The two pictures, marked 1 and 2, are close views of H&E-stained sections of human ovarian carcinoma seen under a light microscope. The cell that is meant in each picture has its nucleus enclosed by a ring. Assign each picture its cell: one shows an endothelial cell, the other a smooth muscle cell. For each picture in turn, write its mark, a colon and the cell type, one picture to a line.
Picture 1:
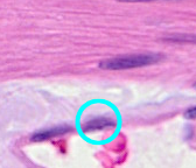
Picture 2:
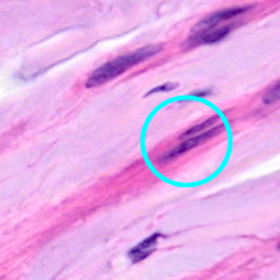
1: endothelial cell
2: smooth muscle cell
